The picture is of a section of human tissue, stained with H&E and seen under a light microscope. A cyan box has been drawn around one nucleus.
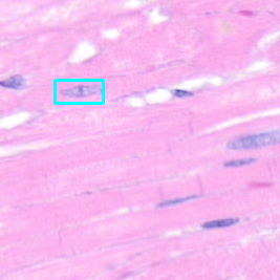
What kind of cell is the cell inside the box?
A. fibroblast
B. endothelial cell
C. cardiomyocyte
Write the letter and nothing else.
C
